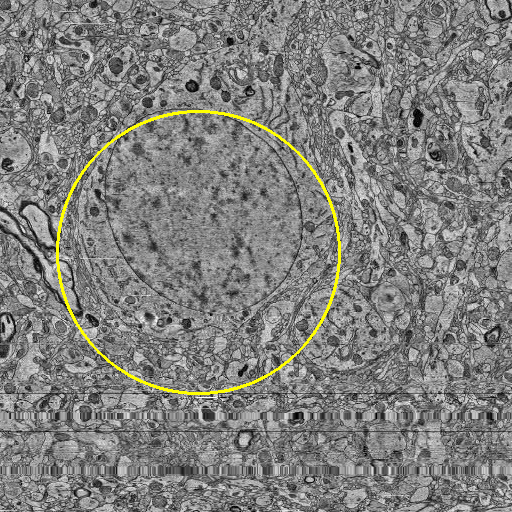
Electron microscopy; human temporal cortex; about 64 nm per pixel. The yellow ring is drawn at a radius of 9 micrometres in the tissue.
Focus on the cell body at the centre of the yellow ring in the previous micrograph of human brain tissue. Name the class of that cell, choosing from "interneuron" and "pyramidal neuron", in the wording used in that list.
pyramidal neuron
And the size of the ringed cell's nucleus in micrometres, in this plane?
About 14 by 12 micrometers for the nucleus, in this plane.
